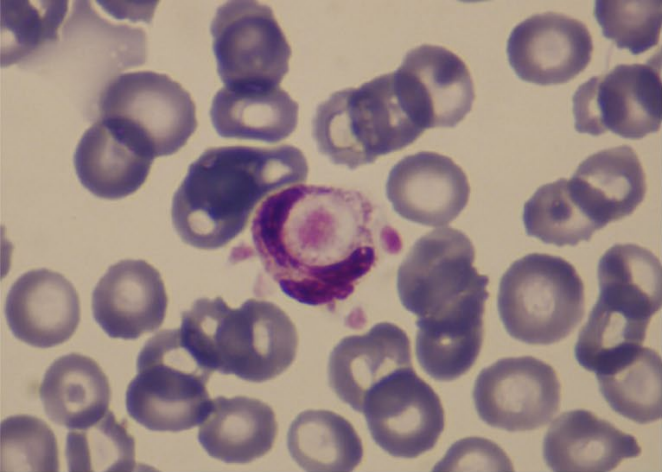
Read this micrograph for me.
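A neutrophilic granulocyte lies among pale-centred red blood cells in a blood smear. A large, round, clear vacuole takes up much of its cytoplasm and holds pink-purple granular material, consistent with an ingested platelet. The dark purple, clumped nucleus is squeezed into a crescent around one side of the vacuole. Small pink-purple platelet fragments lie just outside the cell margin.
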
